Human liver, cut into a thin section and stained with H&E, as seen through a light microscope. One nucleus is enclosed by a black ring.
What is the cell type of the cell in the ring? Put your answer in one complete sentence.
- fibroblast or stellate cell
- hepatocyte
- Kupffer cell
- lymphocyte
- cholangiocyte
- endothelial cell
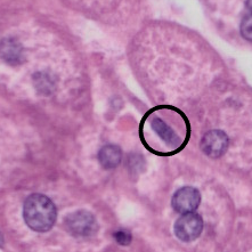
The cell meant here is a Kupffer cell.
